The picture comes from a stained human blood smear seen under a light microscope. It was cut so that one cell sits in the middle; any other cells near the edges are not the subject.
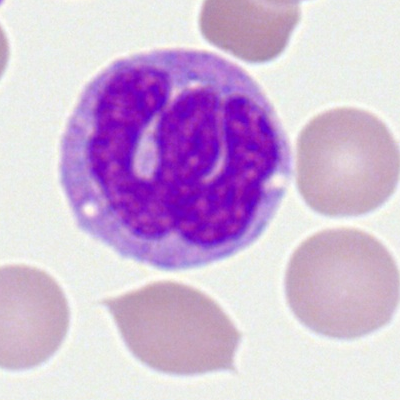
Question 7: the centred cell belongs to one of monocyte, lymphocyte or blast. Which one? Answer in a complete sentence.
Present in the middle of the crop is a monocyte.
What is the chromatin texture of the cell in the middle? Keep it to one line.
The nucleus shows chromatin that is coarsely clumped.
